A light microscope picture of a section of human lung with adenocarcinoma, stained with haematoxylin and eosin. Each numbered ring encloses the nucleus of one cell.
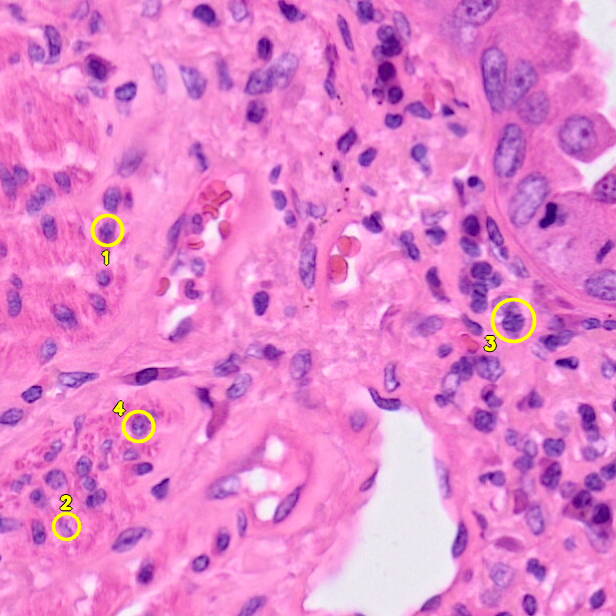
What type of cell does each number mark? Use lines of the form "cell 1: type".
cell 1: smooth muscle cell or pericyte
cell 2: smooth muscle cell or pericyte
cell 3: lymphocyte
cell 4: smooth muscle cell or pericyte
